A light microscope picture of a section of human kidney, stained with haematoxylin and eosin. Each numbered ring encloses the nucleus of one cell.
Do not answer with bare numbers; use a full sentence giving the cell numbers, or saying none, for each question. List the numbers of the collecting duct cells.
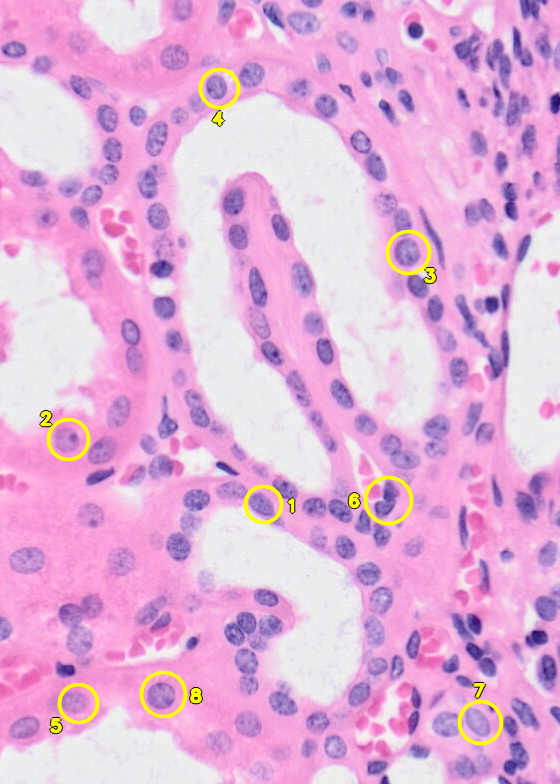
The cells that the numbers 1, 3, 4 and 7 belong to are collecting duct cells.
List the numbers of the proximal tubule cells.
The cells numbered 2, 5 and 8 are, by type, proximal tubule cells.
